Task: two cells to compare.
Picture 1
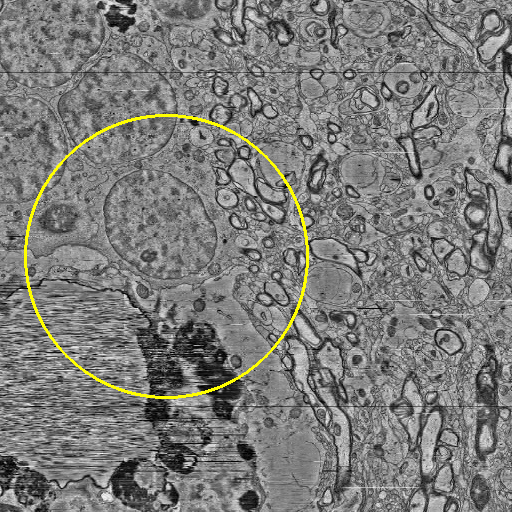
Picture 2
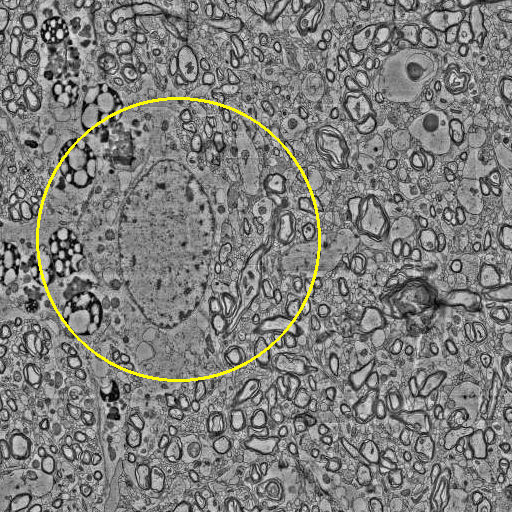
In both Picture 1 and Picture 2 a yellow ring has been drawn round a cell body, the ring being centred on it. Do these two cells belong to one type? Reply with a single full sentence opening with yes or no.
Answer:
No, the two cells at the ring centres in Picture 1 and Picture 2 are of two types.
